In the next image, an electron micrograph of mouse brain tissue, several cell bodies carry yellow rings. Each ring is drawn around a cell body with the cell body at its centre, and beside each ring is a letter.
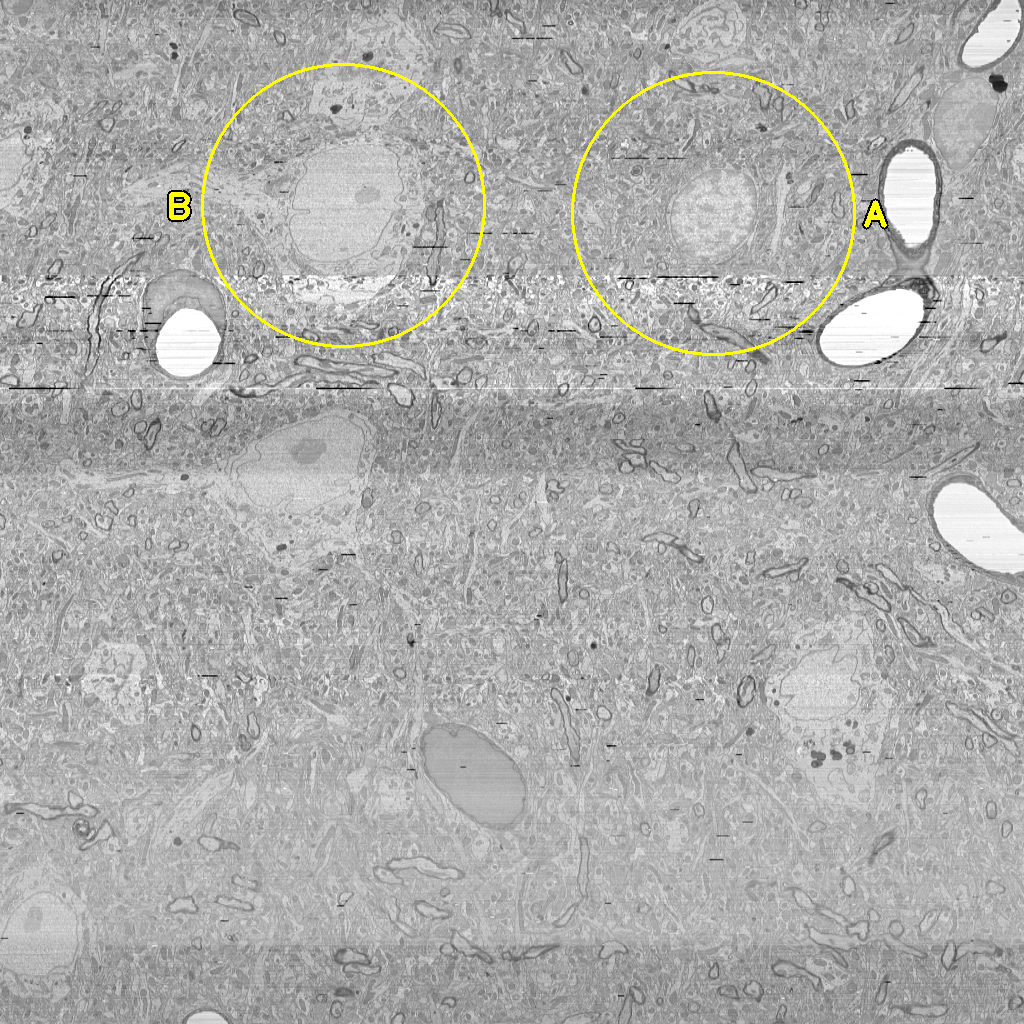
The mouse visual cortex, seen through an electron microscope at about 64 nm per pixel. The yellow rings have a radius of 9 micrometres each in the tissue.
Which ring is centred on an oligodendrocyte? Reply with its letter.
A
